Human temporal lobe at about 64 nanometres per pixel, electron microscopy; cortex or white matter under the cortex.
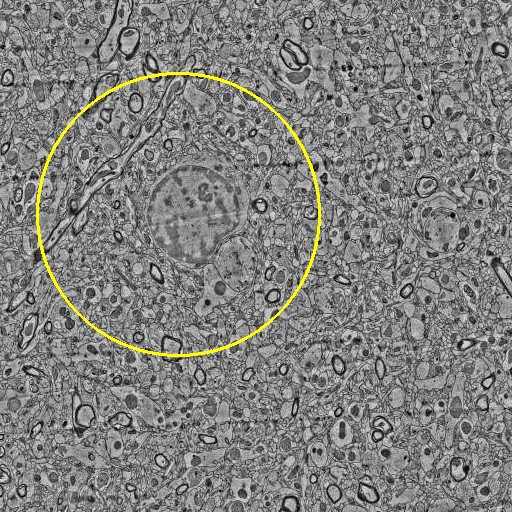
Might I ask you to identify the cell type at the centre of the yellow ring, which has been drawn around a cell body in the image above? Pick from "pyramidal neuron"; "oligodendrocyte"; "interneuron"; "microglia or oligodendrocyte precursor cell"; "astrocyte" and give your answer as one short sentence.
The centre of the ring falls on an oligodendrocyte.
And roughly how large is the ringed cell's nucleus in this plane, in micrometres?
Approximately 6 micrometres across, in this plane.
